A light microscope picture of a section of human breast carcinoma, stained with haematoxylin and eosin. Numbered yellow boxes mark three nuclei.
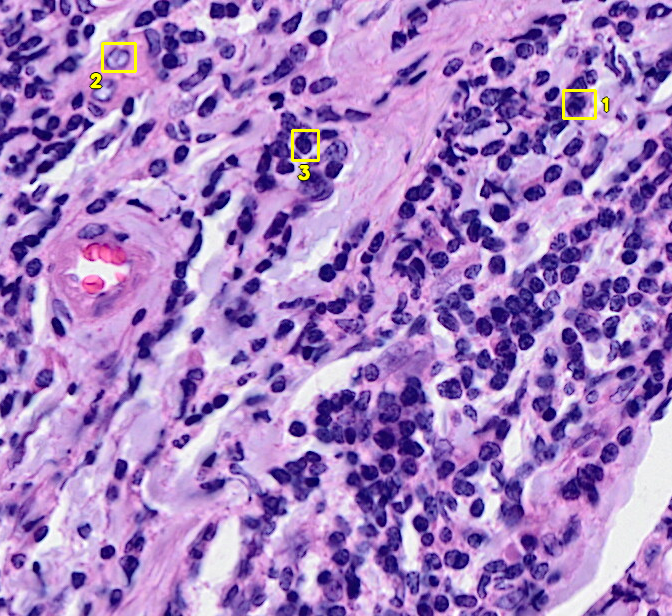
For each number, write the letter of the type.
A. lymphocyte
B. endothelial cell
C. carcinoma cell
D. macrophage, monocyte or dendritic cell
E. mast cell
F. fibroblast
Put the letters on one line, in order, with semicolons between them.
A; B; A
